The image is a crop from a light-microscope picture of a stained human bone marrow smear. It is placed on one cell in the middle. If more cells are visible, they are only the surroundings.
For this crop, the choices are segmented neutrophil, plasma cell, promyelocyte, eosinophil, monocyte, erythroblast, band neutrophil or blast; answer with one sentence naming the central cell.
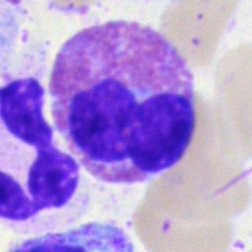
Here the centrally located cell is an eosinophil.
